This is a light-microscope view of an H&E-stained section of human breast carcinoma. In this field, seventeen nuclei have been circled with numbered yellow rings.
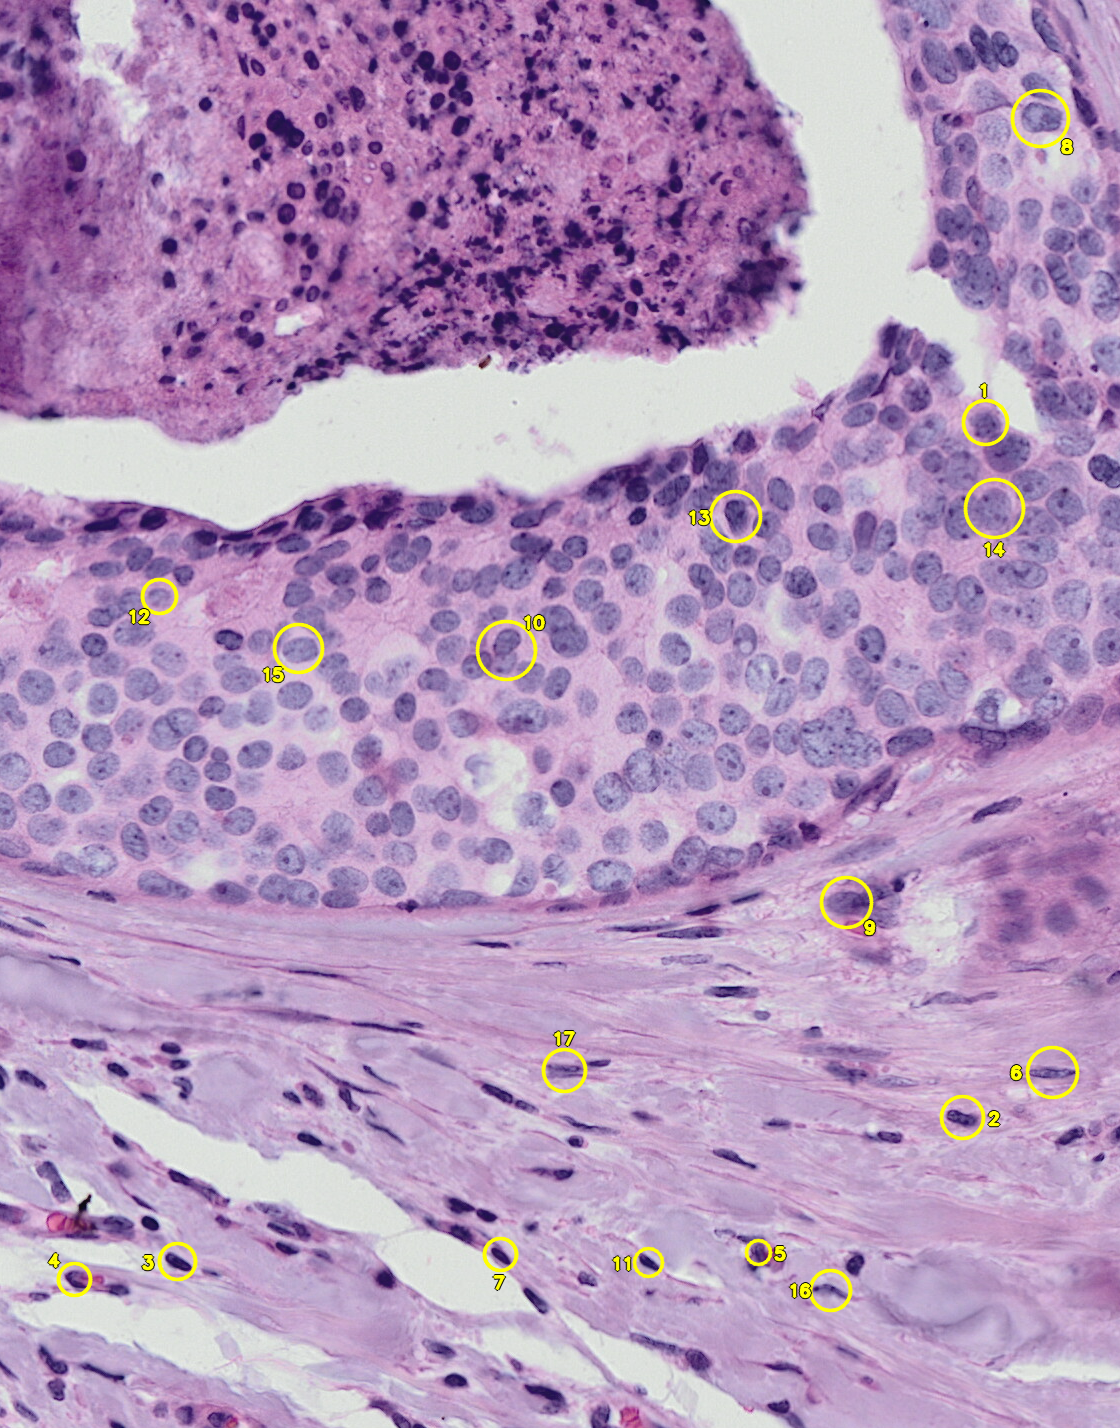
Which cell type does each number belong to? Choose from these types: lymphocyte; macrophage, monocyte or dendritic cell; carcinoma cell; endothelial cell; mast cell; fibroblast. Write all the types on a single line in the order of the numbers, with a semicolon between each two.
carcinoma cell; mast cell; lymphocyte; endothelial cell; endothelial cell; fibroblast; lymphocyte; carcinoma cell; endothelial cell; carcinoma cell; lymphocyte; carcinoma cell; carcinoma cell; carcinoma cell; carcinoma cell; fibroblast; fibroblast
